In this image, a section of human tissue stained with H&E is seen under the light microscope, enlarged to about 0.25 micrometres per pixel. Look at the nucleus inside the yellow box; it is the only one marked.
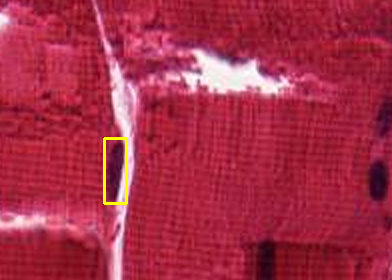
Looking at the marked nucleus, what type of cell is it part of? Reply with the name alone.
skeletal muscle fibre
